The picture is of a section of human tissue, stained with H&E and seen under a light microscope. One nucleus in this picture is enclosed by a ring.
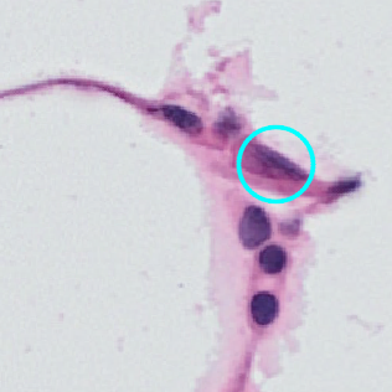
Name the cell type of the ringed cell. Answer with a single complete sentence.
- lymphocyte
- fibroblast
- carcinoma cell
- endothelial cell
In this section of tissue, the ringed cell is an endothelial cell.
